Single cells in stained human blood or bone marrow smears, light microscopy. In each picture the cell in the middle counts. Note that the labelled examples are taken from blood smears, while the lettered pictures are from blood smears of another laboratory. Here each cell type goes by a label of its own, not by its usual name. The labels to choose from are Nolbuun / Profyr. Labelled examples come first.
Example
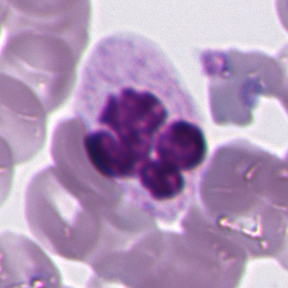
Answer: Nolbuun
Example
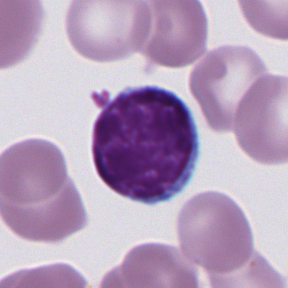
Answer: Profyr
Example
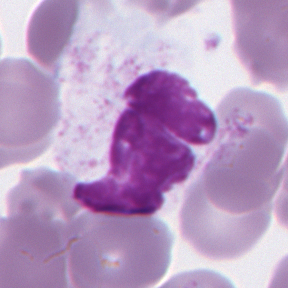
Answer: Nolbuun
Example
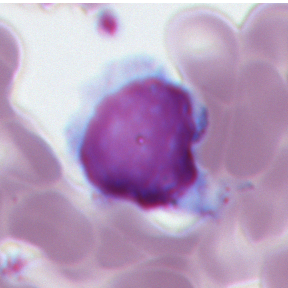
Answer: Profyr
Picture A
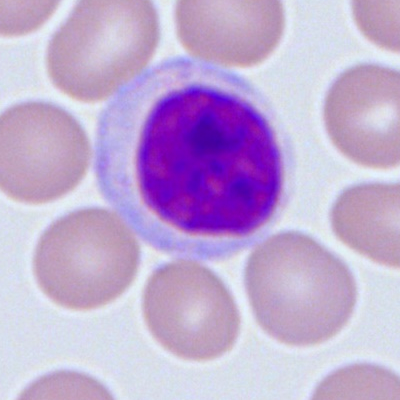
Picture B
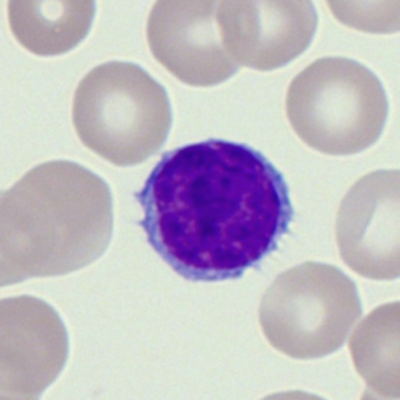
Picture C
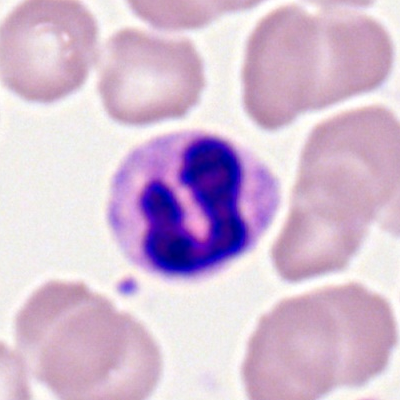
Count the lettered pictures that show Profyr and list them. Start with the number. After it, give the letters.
2: A, B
